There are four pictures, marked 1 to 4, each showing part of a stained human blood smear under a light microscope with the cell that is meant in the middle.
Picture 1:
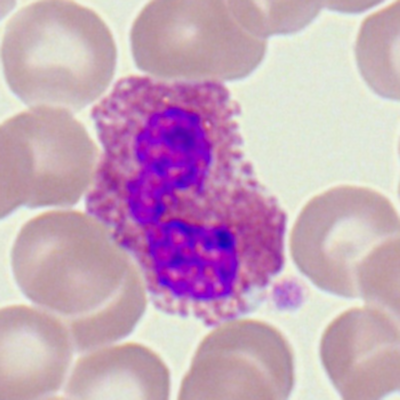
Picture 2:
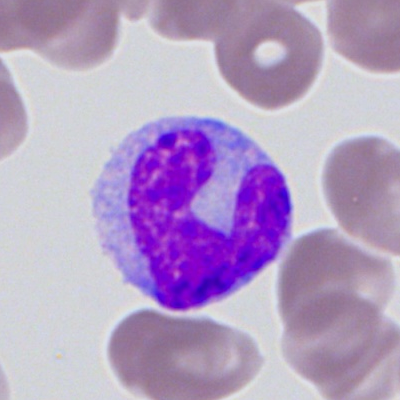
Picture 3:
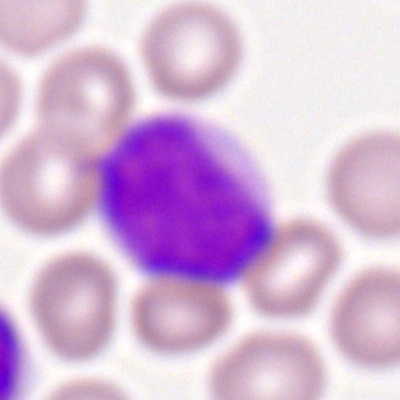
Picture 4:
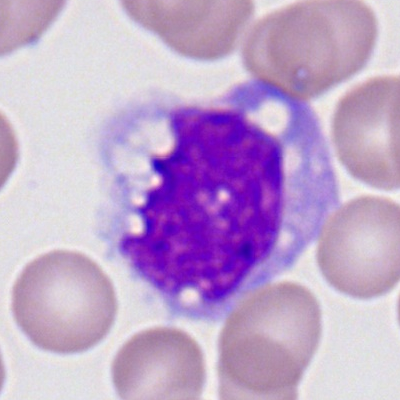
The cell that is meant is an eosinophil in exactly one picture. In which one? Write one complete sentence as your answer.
The picture with the eosinophil is 1.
